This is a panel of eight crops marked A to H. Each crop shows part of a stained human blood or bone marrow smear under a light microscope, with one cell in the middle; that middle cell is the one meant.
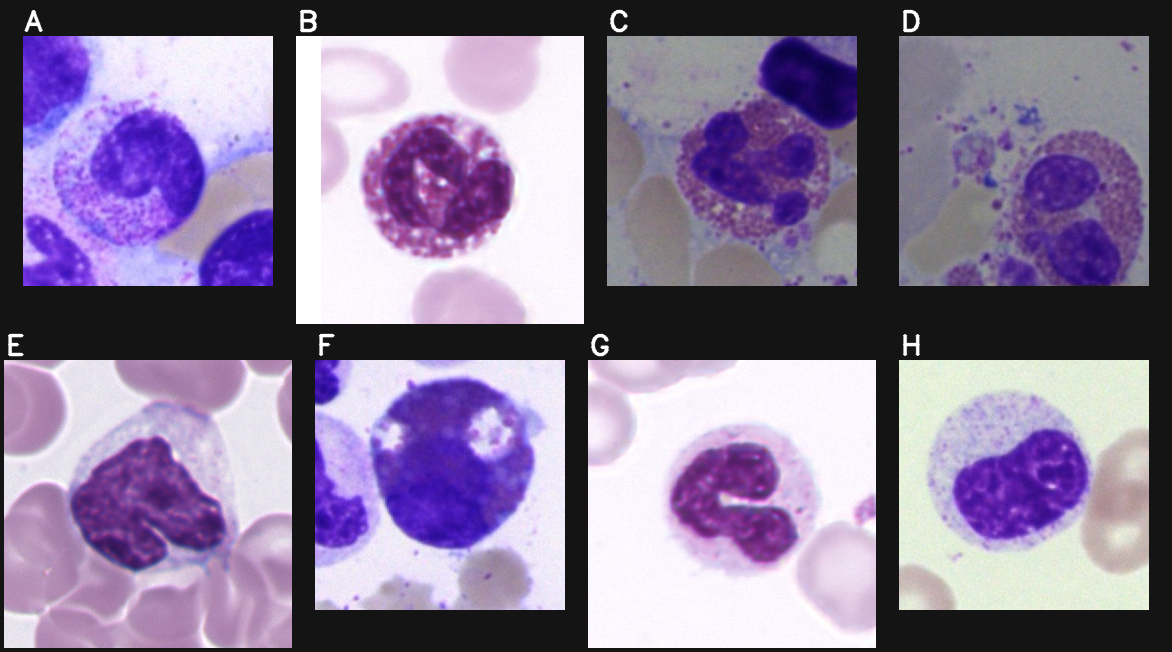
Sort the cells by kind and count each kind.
eosinophil: 4
metamyelocyte: 2
band neutrophil: 2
